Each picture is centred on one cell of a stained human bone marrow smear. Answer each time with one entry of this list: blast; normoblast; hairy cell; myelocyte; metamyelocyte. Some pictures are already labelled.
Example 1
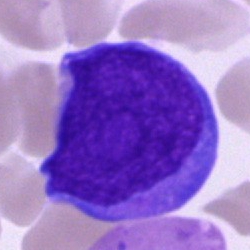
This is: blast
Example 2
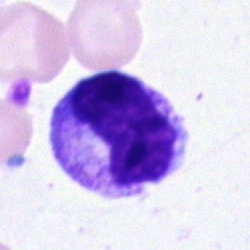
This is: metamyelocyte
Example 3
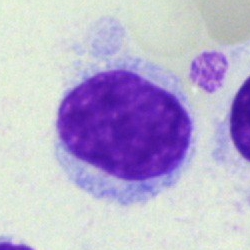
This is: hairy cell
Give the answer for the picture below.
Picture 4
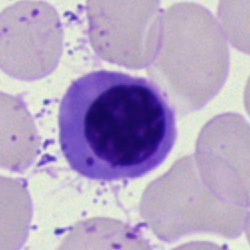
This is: normoblast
